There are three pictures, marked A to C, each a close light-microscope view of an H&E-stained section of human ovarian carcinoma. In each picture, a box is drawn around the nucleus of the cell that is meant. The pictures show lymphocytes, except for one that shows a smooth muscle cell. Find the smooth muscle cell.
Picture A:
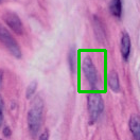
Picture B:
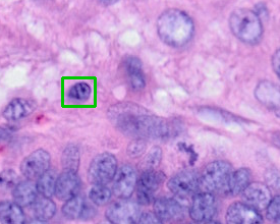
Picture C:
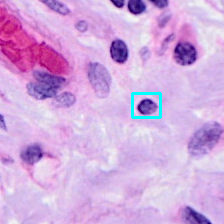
A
